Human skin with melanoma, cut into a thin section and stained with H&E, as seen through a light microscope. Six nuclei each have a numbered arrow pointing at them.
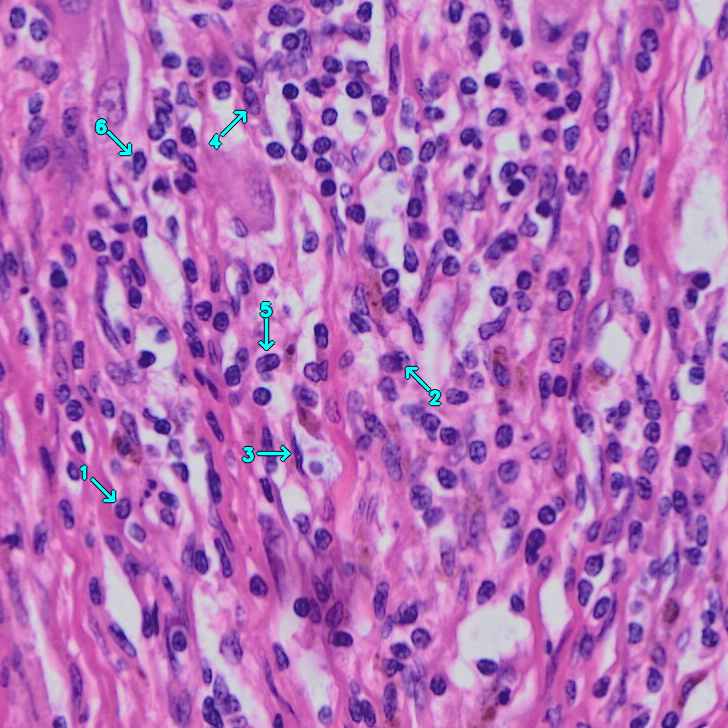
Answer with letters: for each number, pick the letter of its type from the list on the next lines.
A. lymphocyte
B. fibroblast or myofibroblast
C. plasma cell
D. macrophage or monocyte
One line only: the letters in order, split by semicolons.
C; C; B; D; A; A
